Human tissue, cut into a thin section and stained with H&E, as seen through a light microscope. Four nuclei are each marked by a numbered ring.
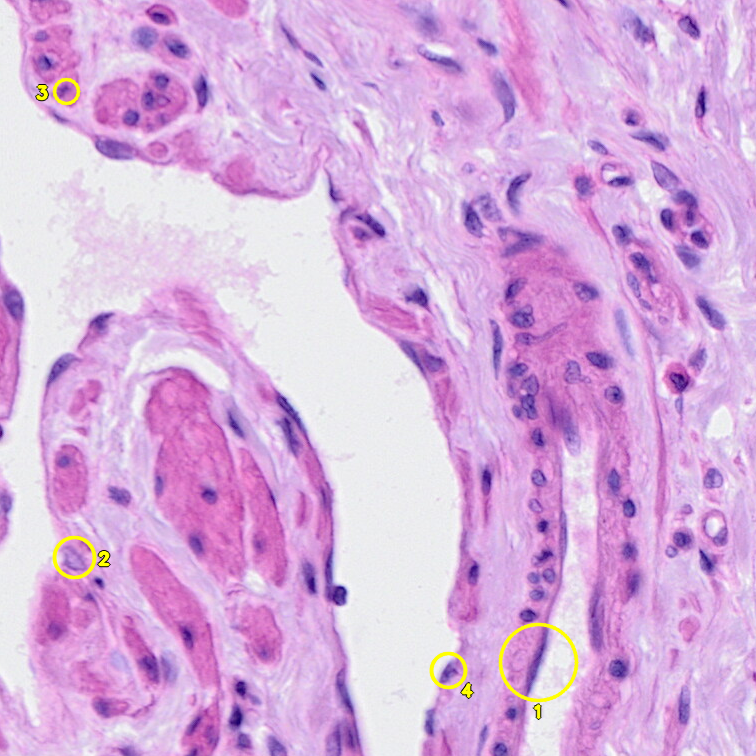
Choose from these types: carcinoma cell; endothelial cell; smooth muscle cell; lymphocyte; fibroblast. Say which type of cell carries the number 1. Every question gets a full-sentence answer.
The label 1 in this section denotes an endothelial cell.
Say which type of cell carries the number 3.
The cell given label 3 is a smooth muscle cell.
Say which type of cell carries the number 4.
The cell pointed out as number 4 is an endothelial cell.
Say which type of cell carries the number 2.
Classified as an endothelial cell is the cell with the number 2.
